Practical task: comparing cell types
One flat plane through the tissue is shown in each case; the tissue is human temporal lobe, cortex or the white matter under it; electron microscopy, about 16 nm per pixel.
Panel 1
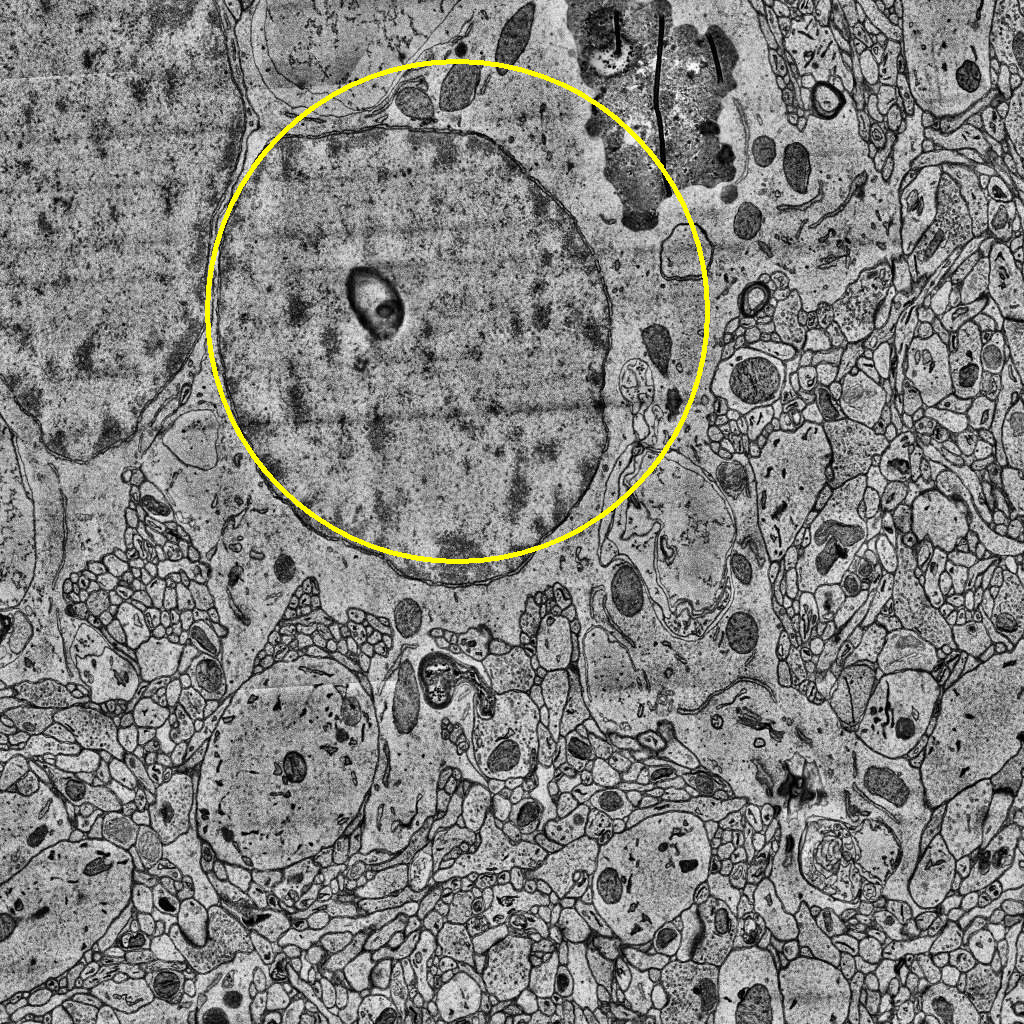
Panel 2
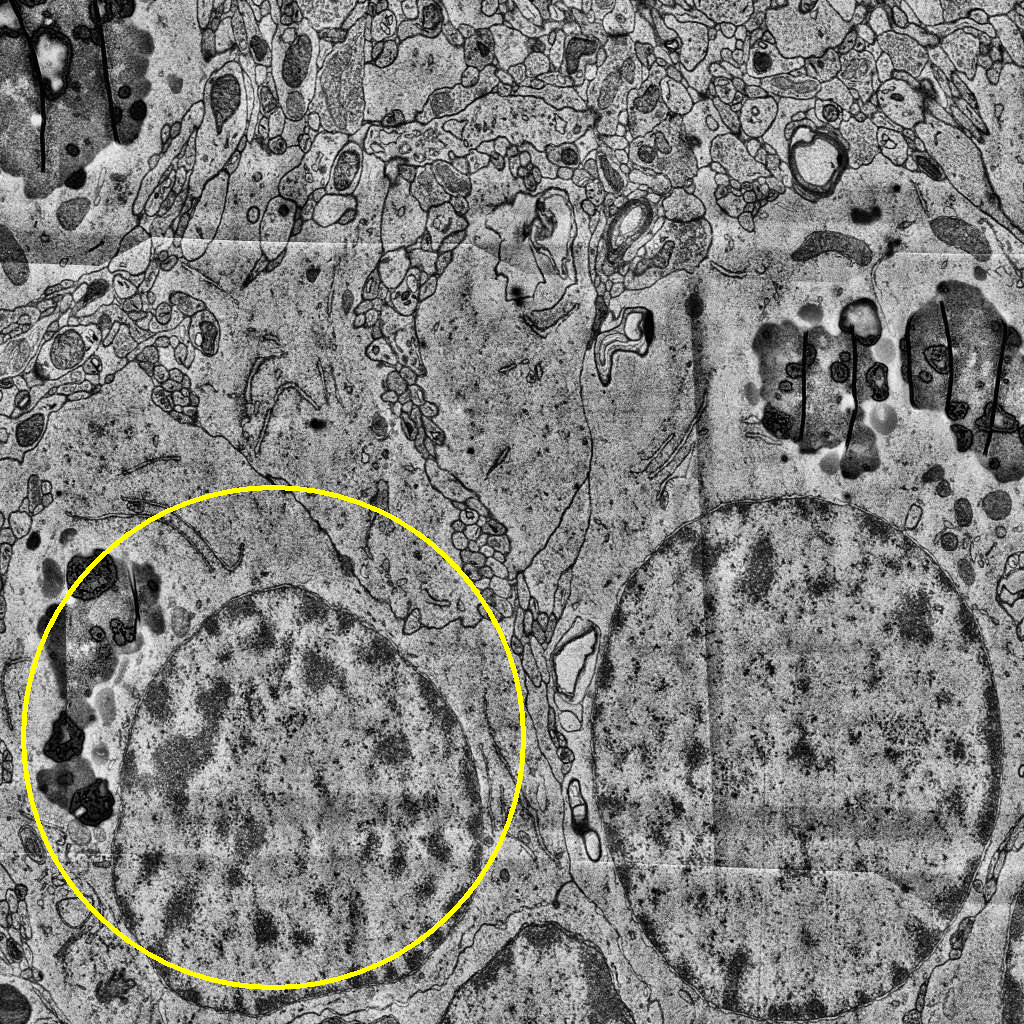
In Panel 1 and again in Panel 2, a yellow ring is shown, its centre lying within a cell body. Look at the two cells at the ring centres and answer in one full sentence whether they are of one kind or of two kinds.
The two cells sitting at the ring centres of Panels 1 and 2 are of one kind.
